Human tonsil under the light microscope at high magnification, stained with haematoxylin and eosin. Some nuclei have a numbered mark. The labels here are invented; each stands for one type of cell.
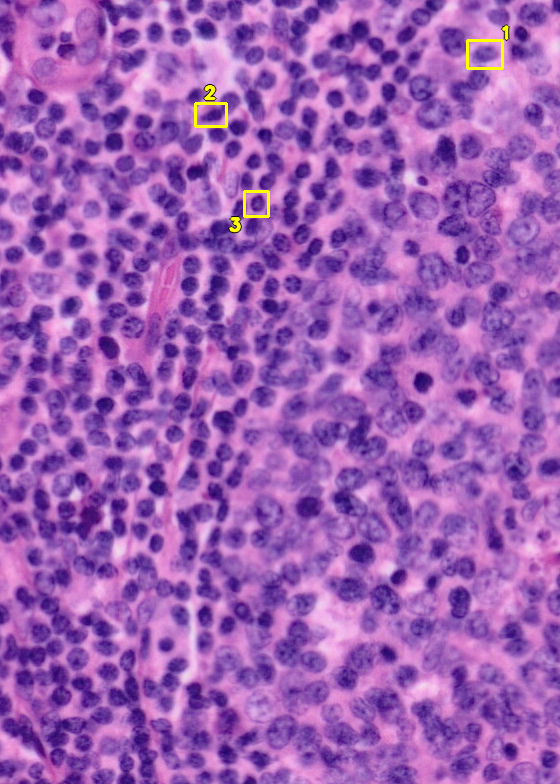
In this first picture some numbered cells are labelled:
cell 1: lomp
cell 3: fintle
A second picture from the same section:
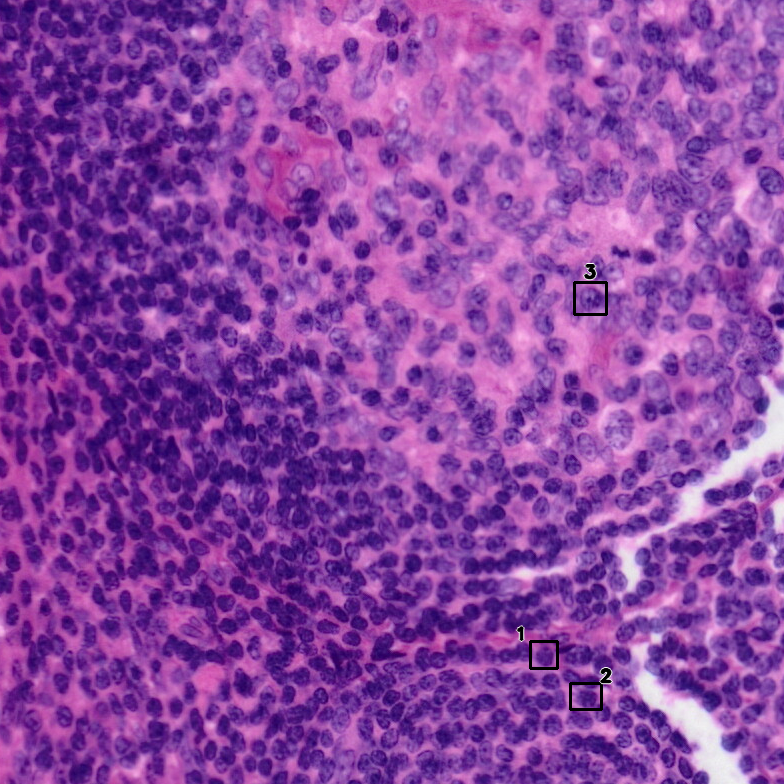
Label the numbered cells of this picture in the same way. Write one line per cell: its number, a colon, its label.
1: fintle
2: fintle
3: lomp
